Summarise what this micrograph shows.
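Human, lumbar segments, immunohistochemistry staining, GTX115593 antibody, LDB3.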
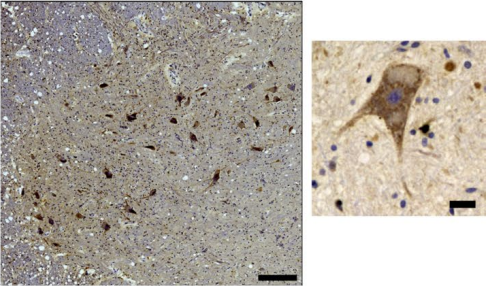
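Grey matter of the spinal cord with scattered large neurons is shown at low power, the neurons standing out as brown cell bodies on a paler brown neuropil dotted with small blue nuclei. The cells are spread irregularly across the field, many angular with short processes. Small dark blue glial nuclei lie around it in the pale surrounding tissue.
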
